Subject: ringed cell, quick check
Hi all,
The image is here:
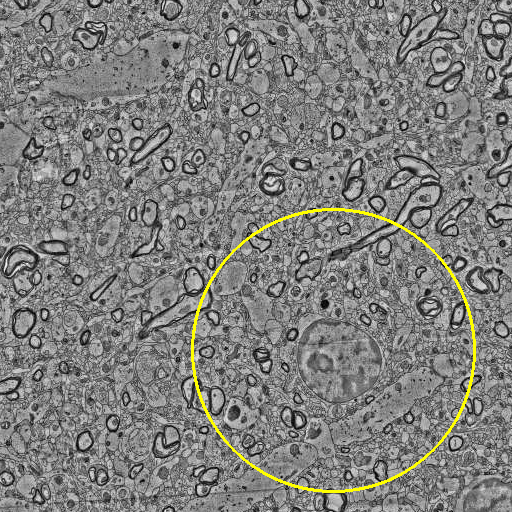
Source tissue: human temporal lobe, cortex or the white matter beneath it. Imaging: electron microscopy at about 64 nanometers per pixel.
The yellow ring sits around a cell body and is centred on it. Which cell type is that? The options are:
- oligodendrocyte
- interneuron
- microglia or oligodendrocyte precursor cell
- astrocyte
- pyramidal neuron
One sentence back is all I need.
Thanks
That ringed cell is a microglial cell or oligodendrocyte precursor cell.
